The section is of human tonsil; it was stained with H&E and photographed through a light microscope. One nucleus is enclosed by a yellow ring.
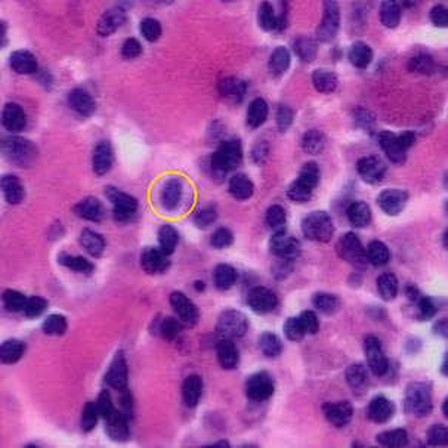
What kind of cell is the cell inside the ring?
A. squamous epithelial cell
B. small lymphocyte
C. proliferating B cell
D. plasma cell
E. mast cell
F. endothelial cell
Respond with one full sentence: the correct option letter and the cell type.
What option E states, that the cell inside the ring is a mast cell, is correct.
